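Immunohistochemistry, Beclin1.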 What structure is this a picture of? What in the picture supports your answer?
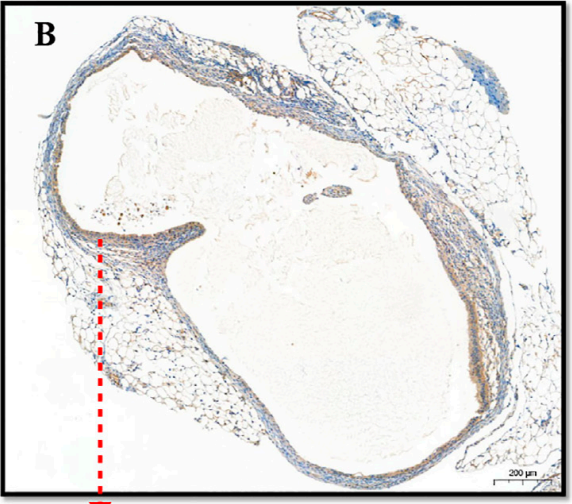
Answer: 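Cysts. A large rounded cavity with pale contents is enclosed by a continuous wall. The inner face of the wall is lined by a layer of cells. Fat tissue surrounds the wall on the outside.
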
